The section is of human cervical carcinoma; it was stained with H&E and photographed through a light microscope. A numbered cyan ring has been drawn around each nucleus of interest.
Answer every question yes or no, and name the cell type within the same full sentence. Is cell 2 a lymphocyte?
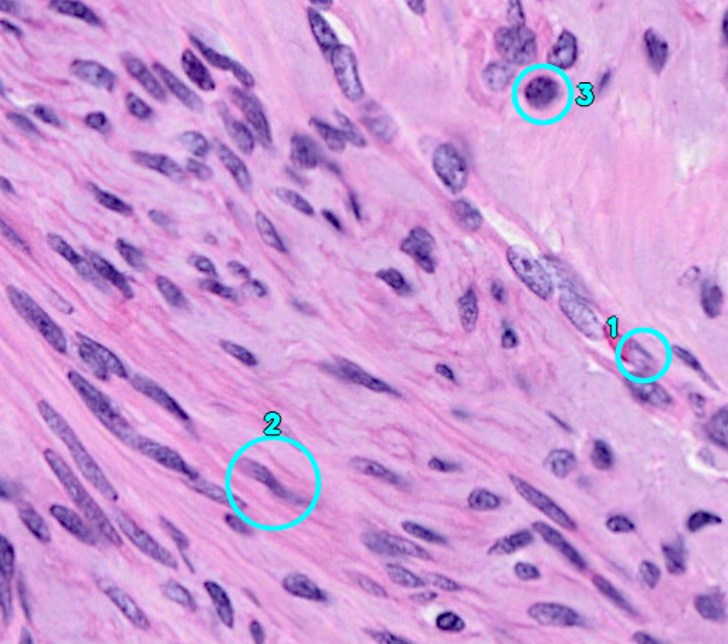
No, the nucleus numbered 2 belongs to a smooth muscle cell, not a lymphocyte.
